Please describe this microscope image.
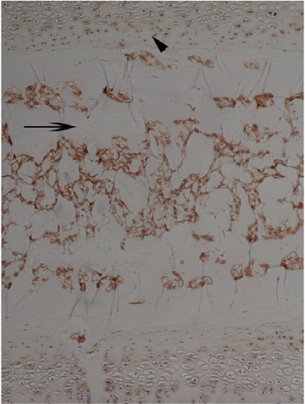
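Section of an intervertebral disc with cartilaginous endplates at the top and bottom and the nucleus pulposus in the middle. The endplates consist of many small rounded cells lying in lacunae, arranged in rows within pale matrix, some with brown staining near the upper edge. The central nucleus pulposus is occupied by dense, irregular clusters and interconnected strands of cells stained intensely dark brown, forming a coarse meshwork across the width of the disc. Pale, vertically oriented strands run between the central region and the endplates. The background matrix is unstained and grey.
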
